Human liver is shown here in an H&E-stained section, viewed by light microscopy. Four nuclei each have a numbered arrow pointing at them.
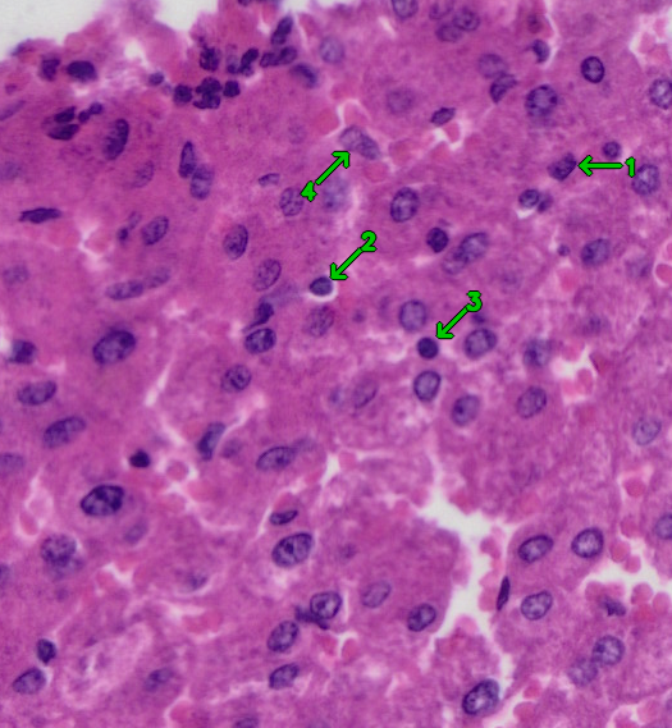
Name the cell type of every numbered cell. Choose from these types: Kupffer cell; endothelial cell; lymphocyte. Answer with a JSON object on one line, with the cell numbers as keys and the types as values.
{"1": "endothelial cell", "2": "lymphocyte", "3": "lymphocyte", "4": "Kupffer cell"}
